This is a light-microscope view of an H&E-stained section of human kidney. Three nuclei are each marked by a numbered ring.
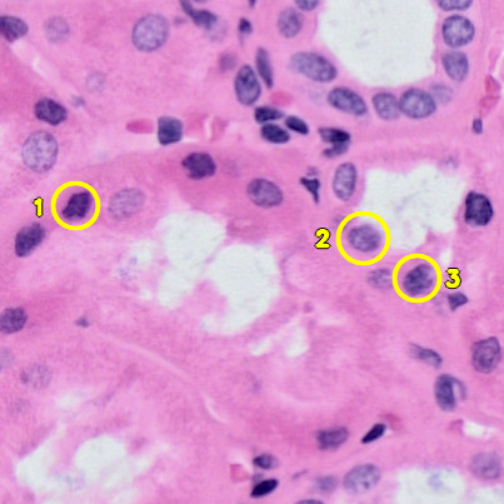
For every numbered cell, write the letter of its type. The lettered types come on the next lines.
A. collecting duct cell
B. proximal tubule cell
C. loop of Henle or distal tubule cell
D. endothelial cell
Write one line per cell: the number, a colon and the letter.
1: B
2: C
3: C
